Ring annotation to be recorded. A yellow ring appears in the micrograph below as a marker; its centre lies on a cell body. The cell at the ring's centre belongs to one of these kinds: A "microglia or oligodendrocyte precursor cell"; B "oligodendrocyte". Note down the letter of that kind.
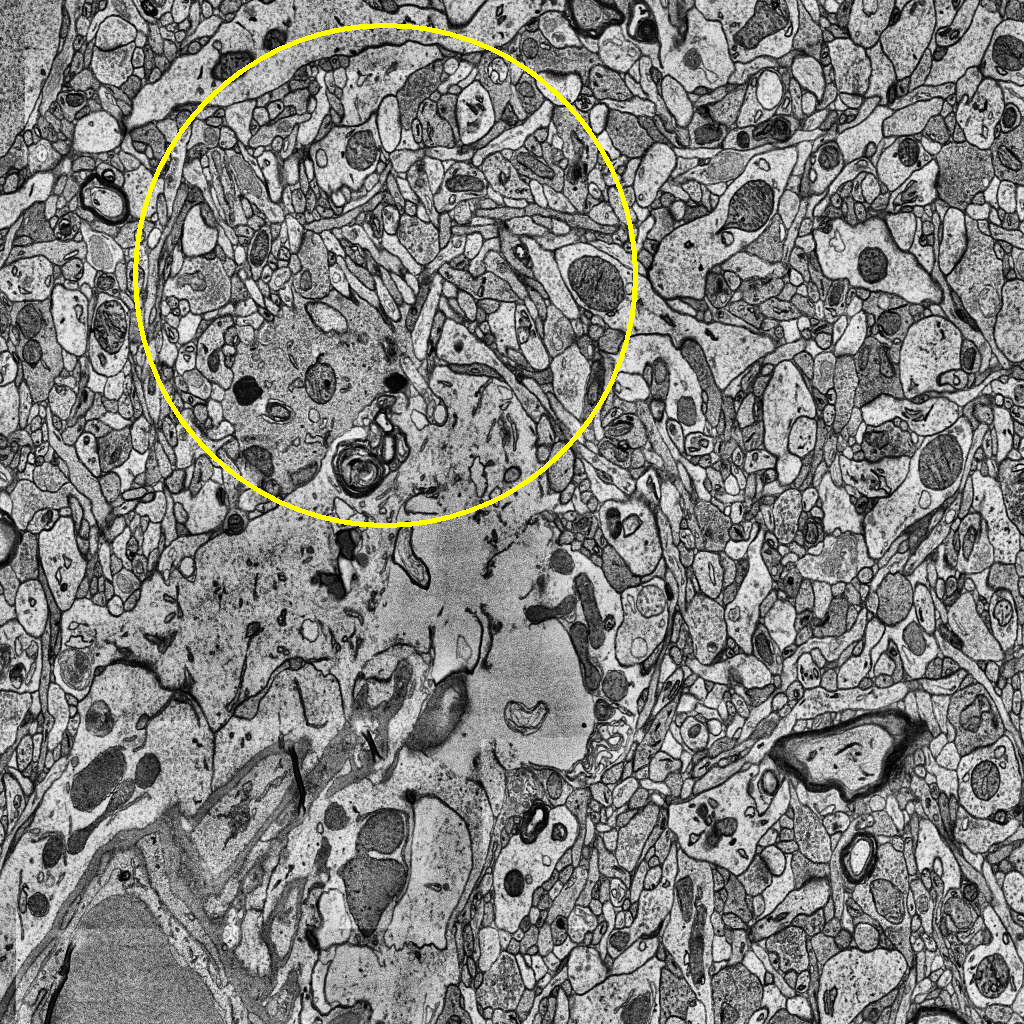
B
